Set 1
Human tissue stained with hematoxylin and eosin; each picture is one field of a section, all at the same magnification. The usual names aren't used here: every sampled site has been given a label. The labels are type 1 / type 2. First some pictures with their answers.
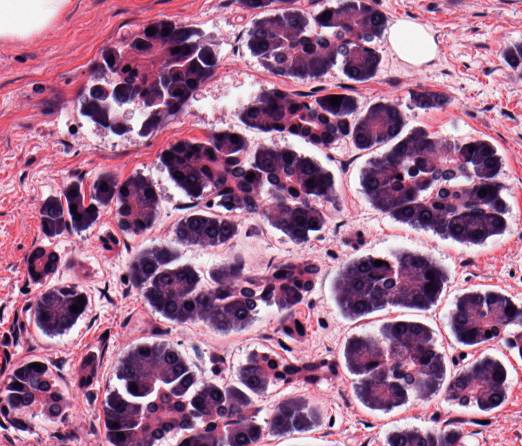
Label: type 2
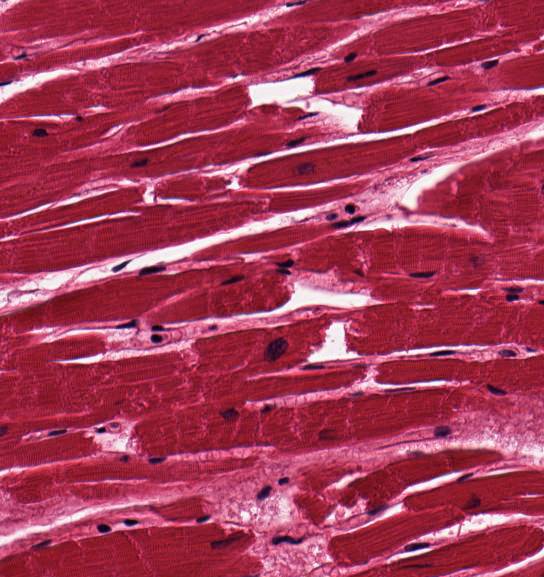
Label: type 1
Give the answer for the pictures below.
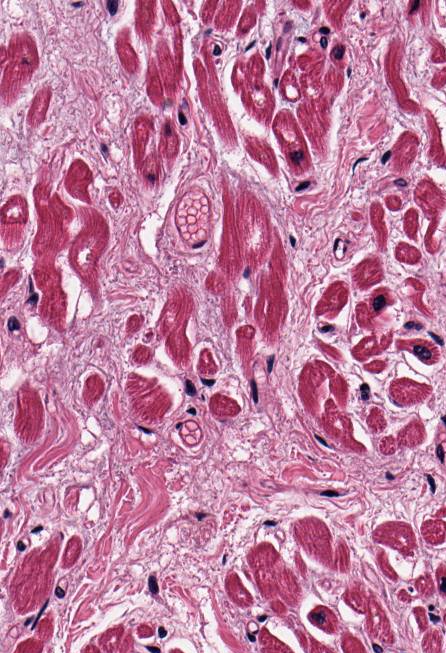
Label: type 1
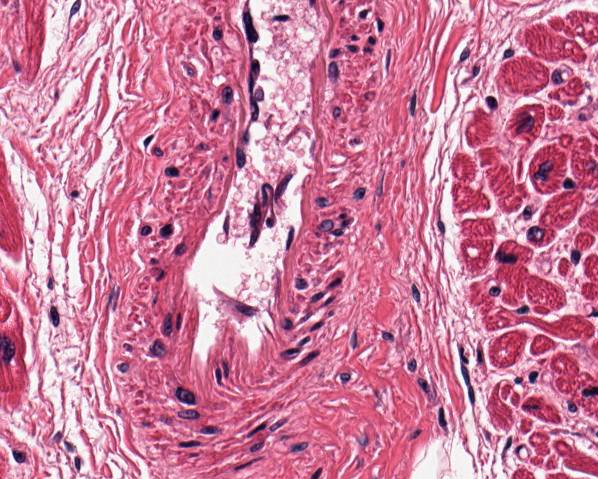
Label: type 1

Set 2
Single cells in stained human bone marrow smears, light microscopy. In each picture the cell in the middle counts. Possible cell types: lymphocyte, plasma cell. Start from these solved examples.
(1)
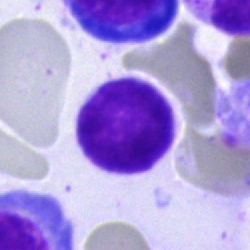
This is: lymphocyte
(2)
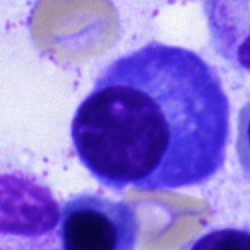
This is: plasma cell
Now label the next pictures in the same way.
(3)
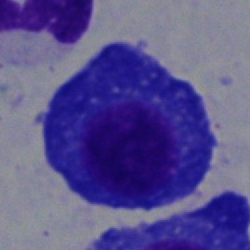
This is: plasma cell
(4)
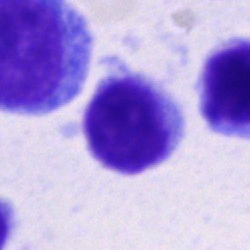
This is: lymphocyte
